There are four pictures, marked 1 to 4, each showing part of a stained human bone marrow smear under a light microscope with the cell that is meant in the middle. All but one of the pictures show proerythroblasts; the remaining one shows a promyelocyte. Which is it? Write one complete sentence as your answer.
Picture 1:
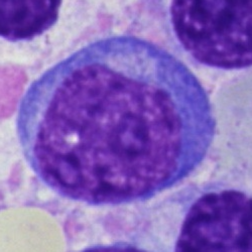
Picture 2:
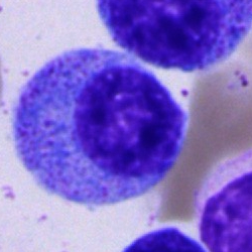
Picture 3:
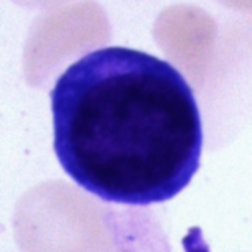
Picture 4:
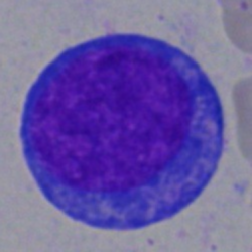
The picture with the promyelocyte is 2.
